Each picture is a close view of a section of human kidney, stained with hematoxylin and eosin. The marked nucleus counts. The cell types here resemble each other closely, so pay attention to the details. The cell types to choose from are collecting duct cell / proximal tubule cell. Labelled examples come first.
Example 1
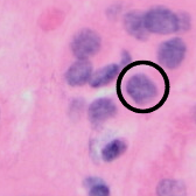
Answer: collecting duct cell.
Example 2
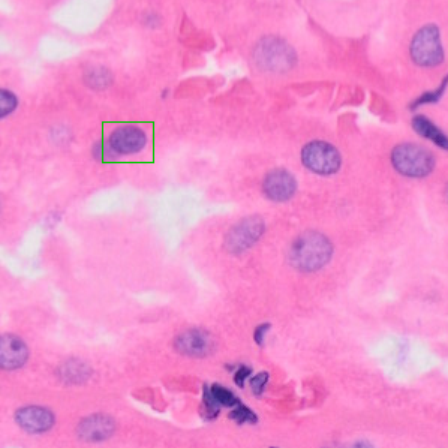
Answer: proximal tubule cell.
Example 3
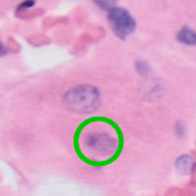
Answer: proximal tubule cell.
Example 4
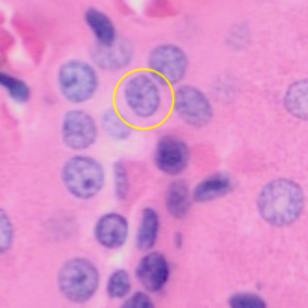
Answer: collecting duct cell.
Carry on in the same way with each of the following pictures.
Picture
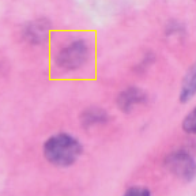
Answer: proximal tubule cell.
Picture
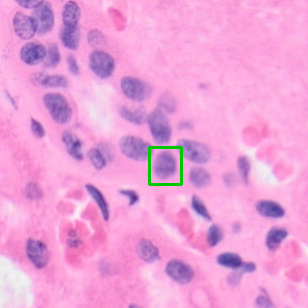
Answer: collecting duct cell.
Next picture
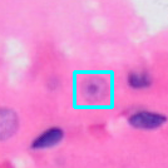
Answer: proximal tubule cell.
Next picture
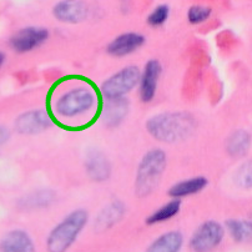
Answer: collecting duct cell.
